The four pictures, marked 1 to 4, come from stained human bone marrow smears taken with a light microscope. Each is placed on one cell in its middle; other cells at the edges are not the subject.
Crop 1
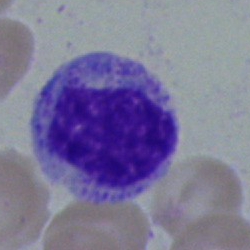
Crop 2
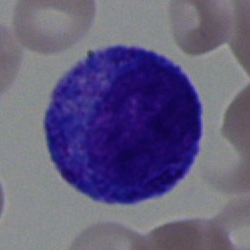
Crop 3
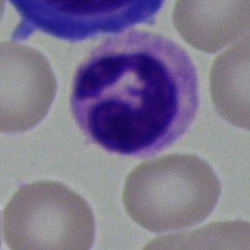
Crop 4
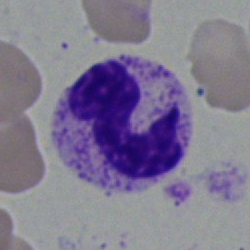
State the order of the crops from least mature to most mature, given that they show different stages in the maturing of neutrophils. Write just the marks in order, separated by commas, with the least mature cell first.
2, 1, 4, 3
